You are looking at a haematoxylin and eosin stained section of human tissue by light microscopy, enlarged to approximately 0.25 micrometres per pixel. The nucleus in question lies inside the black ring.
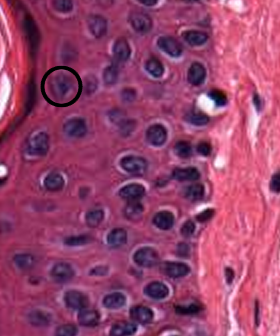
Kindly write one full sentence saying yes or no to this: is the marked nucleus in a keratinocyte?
Yes, the marked nucleus is that of a keratinocyte.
